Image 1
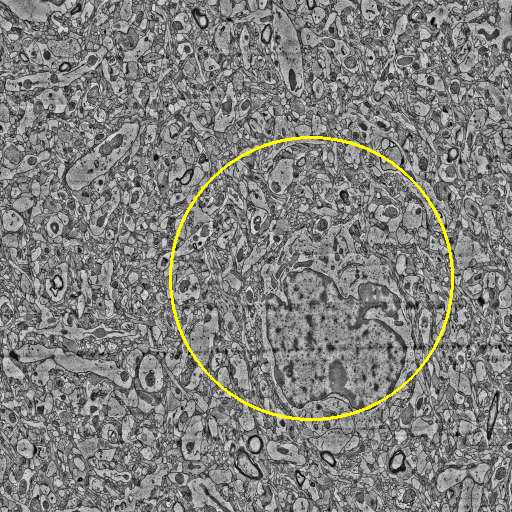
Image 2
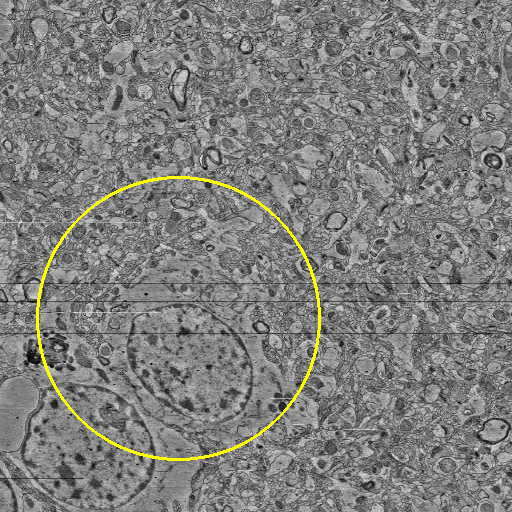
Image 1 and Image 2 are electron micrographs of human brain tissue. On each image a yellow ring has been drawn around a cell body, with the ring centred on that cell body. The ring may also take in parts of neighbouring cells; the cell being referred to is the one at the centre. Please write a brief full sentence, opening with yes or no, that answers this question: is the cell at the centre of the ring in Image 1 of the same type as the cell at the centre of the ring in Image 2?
No, the two cells are of two types.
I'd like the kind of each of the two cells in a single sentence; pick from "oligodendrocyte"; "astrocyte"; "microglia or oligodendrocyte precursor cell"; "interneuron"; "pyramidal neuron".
The first ring marks a microglial cell or oligodendrocyte precursor cell, and the second ring marks an astrocyte.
